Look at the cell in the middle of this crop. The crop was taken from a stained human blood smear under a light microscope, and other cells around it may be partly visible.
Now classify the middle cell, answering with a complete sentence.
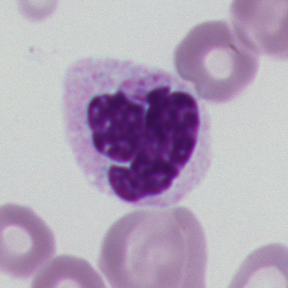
The cell around which this crop is centred is a neutrophil.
